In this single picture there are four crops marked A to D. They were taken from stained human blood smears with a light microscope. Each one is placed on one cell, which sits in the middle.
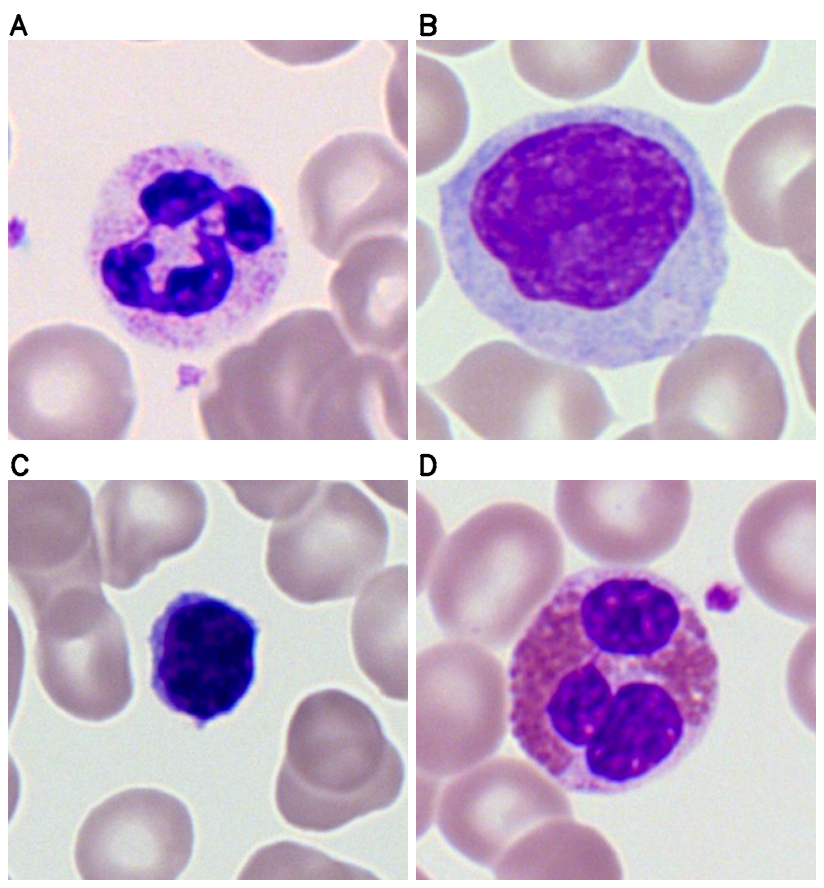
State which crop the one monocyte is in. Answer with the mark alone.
B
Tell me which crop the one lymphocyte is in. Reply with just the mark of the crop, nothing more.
C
